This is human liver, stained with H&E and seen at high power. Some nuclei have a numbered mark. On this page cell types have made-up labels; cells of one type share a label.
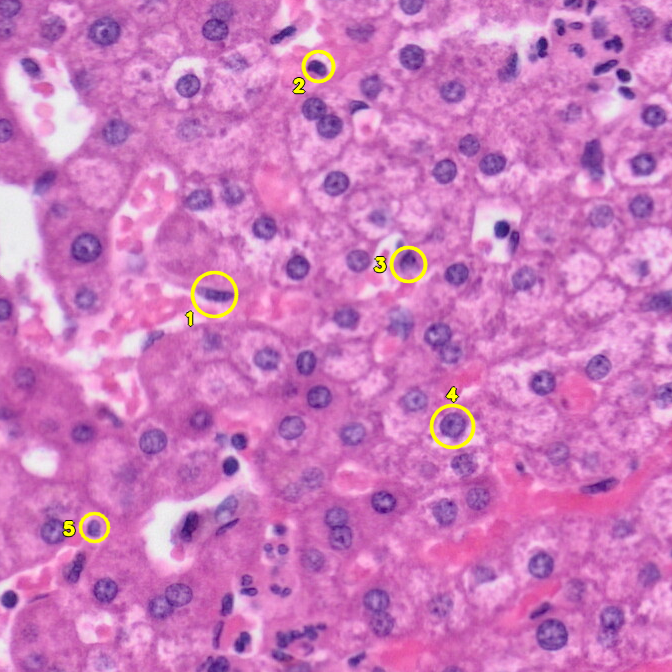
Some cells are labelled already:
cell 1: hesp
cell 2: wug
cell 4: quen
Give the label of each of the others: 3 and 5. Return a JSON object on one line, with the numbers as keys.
{"3": "hesp", "5": "wug"}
